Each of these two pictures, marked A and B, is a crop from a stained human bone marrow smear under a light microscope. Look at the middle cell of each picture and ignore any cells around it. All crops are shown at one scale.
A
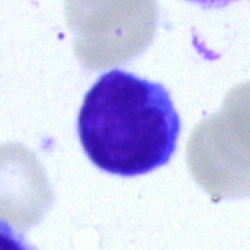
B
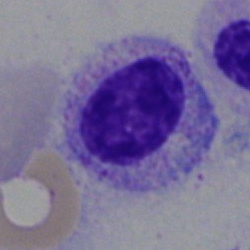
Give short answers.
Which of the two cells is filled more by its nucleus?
A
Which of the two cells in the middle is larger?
B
